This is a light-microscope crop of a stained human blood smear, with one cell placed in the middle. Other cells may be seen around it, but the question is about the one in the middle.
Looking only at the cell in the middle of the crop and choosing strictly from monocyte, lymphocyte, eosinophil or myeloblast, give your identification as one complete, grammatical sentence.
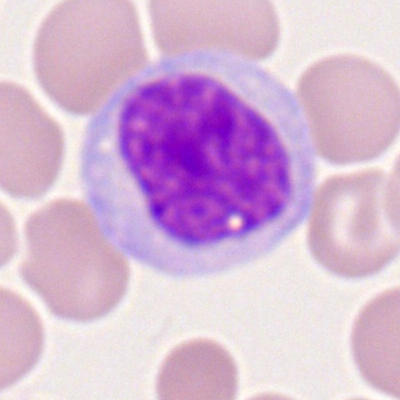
The cell nearest the centre of this crop is a monocyte.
